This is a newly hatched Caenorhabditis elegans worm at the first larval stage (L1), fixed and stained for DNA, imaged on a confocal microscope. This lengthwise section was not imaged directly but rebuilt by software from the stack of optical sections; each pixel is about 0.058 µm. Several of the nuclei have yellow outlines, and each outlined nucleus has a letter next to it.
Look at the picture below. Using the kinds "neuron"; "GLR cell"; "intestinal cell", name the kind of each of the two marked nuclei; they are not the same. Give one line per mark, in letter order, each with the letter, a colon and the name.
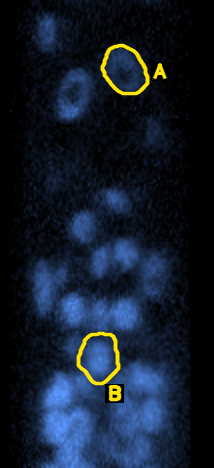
A: intestinal cell
B: neuron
